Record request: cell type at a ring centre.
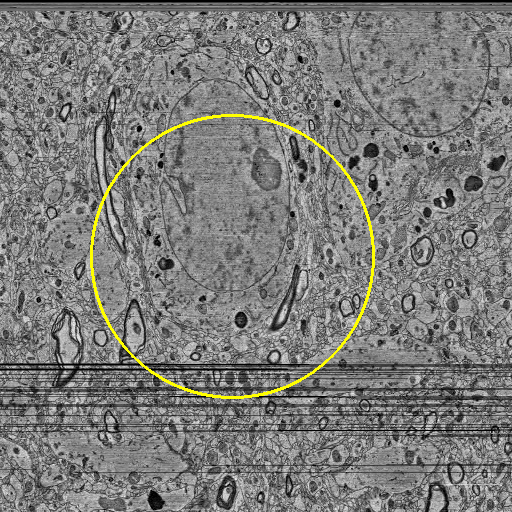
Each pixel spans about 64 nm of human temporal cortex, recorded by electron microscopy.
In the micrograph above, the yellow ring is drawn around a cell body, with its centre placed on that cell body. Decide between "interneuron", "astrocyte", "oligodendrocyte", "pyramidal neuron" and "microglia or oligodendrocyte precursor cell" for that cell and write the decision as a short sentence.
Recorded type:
The cell centred in the yellow ring is a pyramidal neuron.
